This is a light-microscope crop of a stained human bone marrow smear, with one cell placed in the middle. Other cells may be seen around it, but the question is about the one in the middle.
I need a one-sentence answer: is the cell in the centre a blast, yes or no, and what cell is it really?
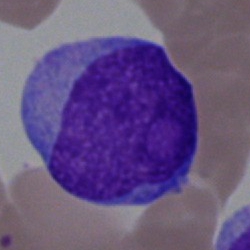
Yes, the cell positioned in the middle is a blast.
